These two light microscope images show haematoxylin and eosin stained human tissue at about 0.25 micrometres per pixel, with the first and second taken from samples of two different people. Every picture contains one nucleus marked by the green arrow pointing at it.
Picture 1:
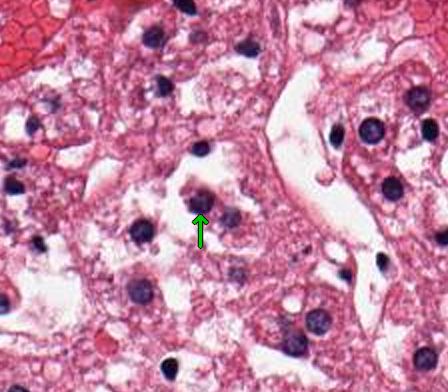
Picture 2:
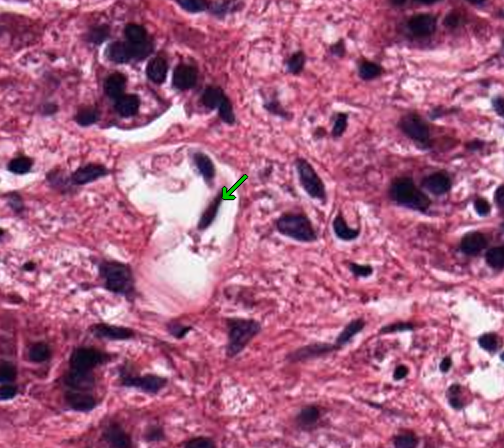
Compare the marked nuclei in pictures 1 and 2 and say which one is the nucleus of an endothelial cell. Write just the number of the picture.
2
